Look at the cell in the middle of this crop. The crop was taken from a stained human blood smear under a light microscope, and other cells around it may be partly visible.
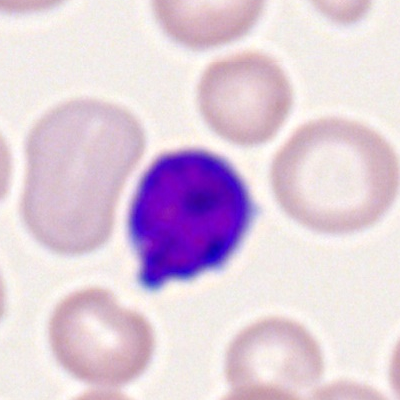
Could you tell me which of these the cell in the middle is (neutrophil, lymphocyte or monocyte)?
lymphocyte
